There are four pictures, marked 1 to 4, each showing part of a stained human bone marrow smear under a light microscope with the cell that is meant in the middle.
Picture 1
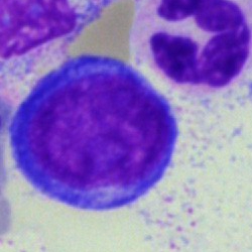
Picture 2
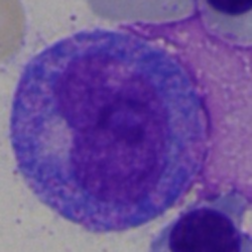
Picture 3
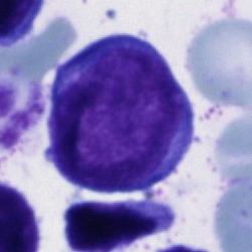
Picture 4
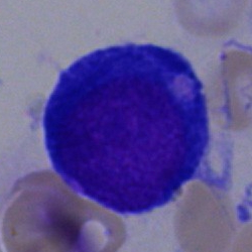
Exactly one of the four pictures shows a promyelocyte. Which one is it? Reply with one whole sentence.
Picture 2 shows the promyelocyte.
